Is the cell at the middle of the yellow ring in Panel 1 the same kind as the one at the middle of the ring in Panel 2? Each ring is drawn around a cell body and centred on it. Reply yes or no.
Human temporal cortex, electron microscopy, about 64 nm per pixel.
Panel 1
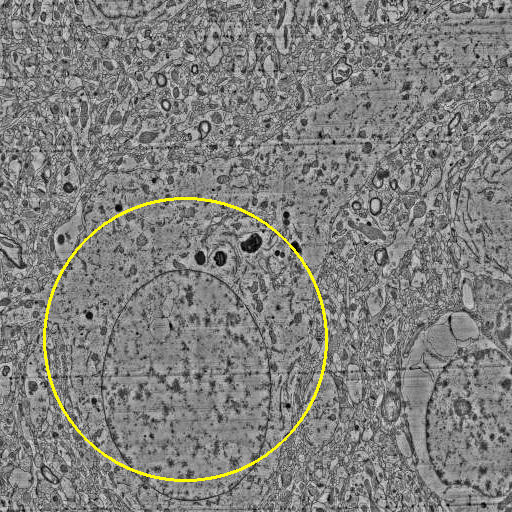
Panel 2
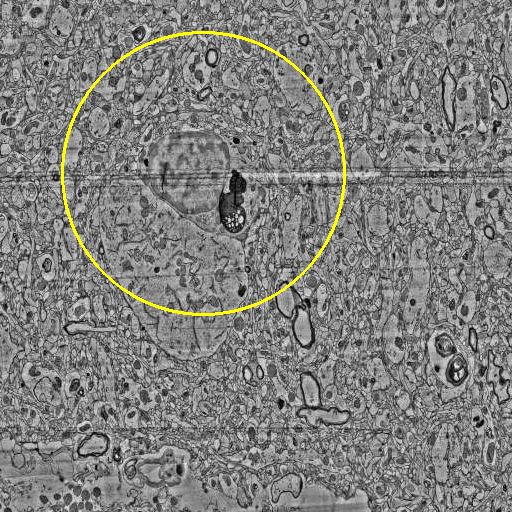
no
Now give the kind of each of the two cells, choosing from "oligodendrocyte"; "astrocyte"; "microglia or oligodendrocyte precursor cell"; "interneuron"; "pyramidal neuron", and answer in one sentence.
The cell in the first picture is a pyramidal neuron, and the cell in the second is an oligodendrocyte.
